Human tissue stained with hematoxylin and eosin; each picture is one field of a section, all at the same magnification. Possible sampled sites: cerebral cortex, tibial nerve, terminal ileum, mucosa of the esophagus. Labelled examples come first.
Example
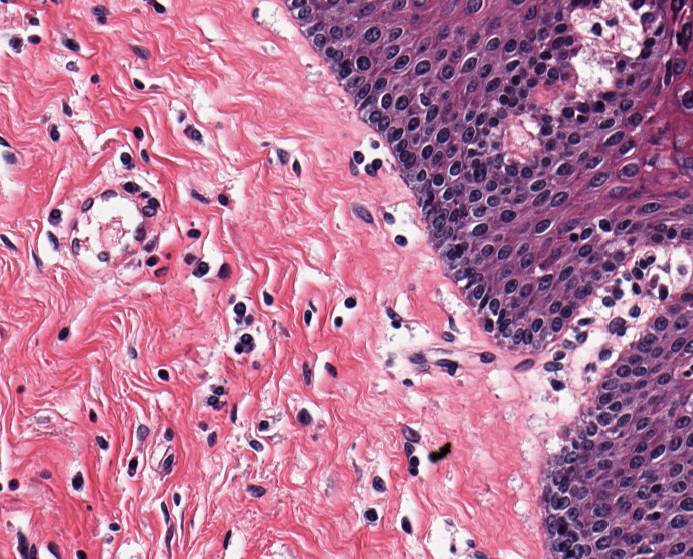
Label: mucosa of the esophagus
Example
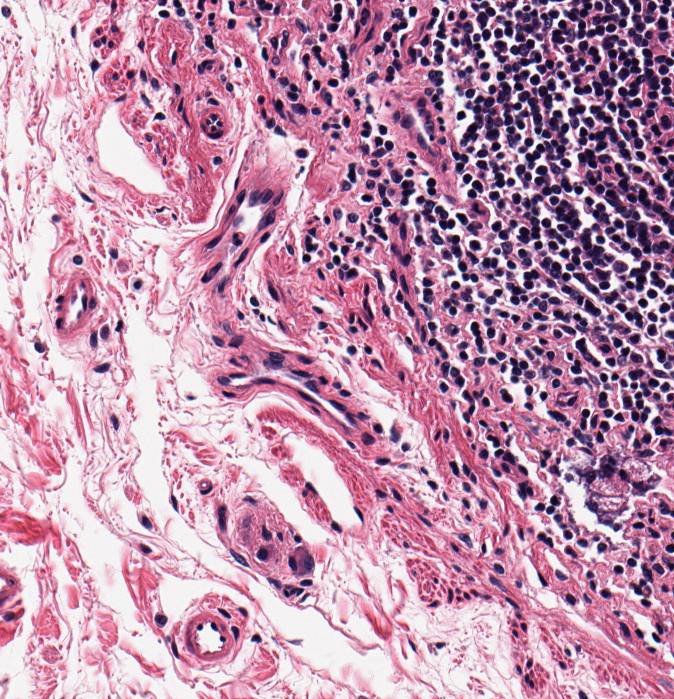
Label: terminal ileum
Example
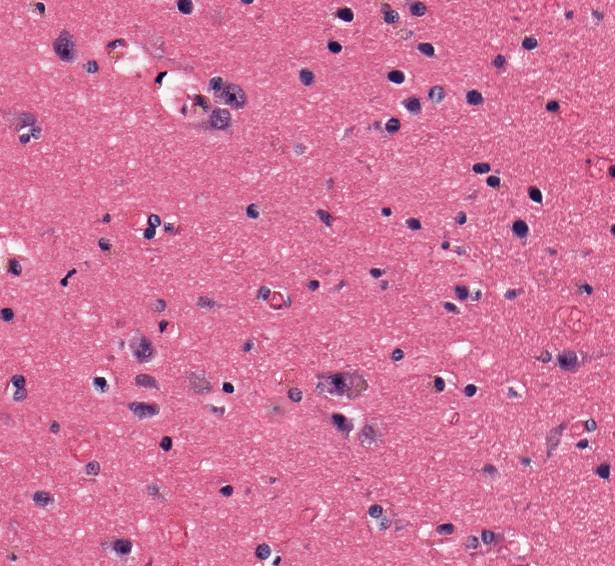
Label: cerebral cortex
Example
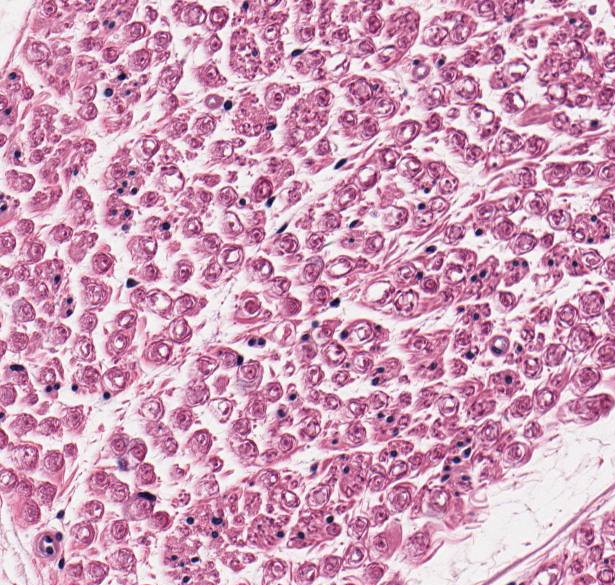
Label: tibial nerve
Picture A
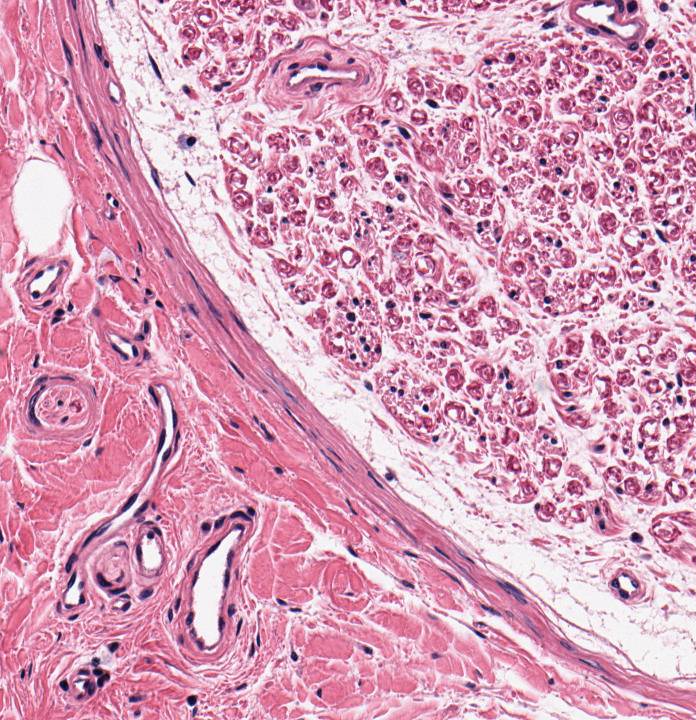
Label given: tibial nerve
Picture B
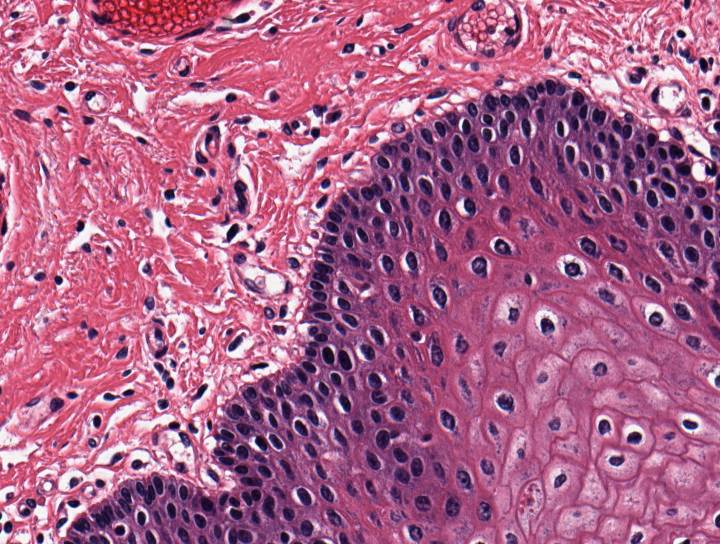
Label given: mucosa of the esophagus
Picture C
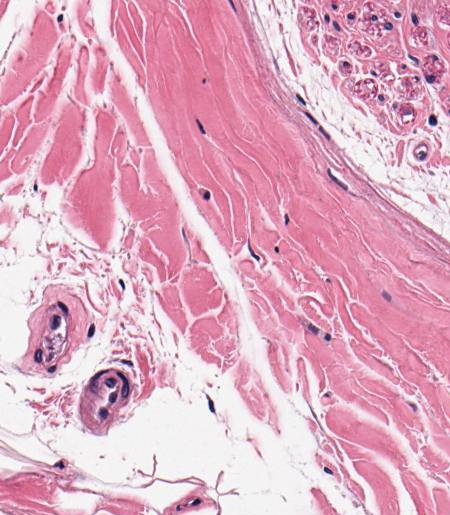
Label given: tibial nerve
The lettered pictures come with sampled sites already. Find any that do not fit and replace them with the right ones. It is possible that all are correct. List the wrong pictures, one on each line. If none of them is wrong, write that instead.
None of the labels needs changing.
